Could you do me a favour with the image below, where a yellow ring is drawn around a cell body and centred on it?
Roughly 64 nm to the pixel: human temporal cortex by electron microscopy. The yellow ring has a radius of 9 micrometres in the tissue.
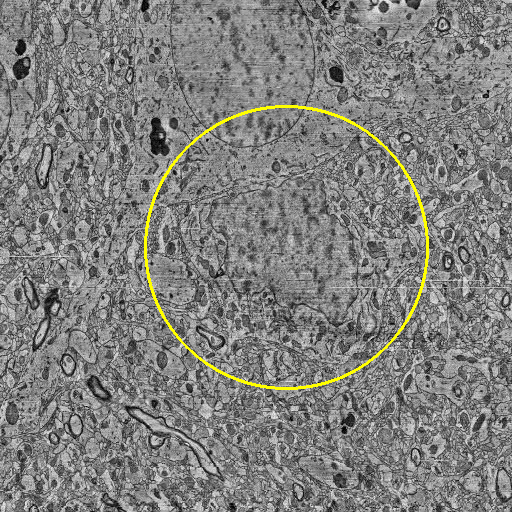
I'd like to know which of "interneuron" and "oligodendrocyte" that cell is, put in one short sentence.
The cell at the ring's centre is an interneuron.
